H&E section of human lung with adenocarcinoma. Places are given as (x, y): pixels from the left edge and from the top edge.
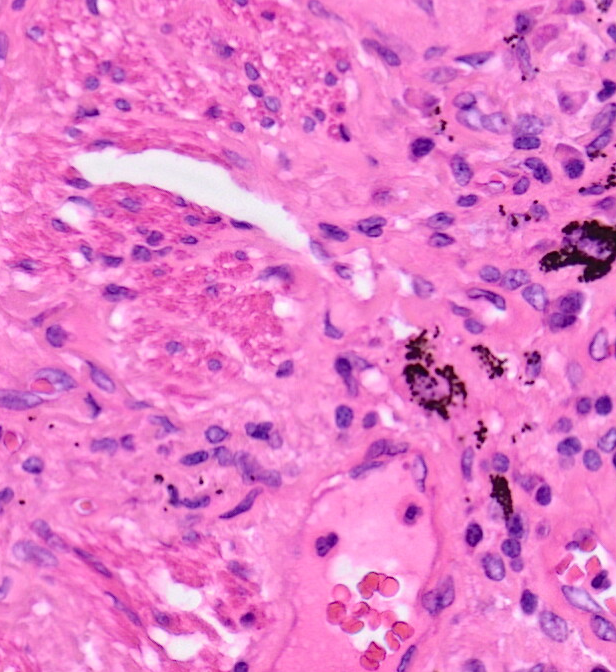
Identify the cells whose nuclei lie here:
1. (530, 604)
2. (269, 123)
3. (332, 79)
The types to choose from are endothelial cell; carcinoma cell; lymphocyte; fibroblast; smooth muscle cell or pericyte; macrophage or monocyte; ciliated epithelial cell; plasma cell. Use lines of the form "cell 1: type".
cell 1: lymphocyte
cell 2: smooth muscle cell or pericyte
cell 3: smooth muscle cell or pericyte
